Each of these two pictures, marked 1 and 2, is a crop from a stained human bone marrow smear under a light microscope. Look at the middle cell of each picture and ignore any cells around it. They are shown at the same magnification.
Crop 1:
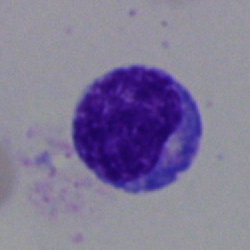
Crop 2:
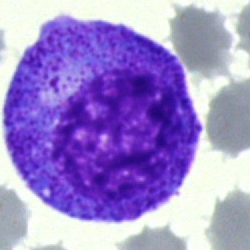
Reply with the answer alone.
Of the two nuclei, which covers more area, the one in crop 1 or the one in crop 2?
2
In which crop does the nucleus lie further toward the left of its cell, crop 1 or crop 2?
1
